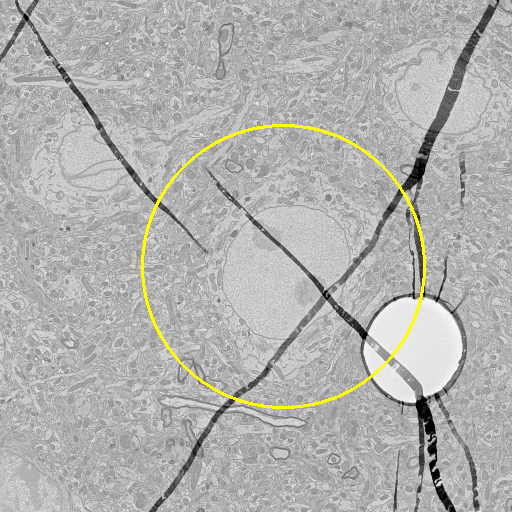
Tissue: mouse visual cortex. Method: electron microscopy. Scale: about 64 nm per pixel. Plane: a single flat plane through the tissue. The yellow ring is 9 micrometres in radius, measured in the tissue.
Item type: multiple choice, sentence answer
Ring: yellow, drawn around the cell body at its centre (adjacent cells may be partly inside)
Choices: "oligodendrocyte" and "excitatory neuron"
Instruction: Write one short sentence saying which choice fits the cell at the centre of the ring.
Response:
This ring is drawn around an excitatory neuron.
